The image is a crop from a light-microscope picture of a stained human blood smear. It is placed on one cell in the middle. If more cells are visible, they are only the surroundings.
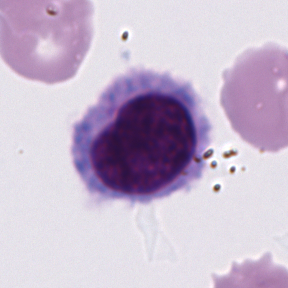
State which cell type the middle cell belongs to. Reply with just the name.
hairy cell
